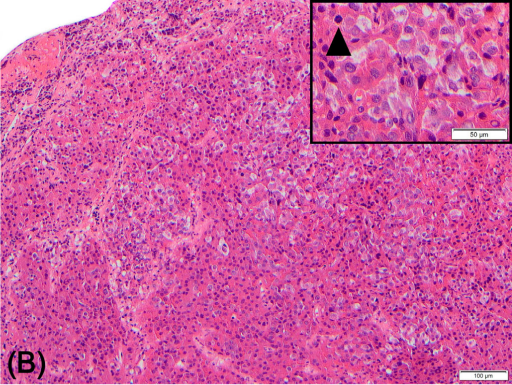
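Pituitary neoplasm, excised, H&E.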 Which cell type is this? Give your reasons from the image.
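Sheets of densely packed cells with pink cytoplasm. Cells are angular, many-sided, with variably sized nuclei. That points to this answer: polygonal eosinophilic cells.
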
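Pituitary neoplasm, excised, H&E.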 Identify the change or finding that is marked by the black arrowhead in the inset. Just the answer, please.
Mitotic figures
